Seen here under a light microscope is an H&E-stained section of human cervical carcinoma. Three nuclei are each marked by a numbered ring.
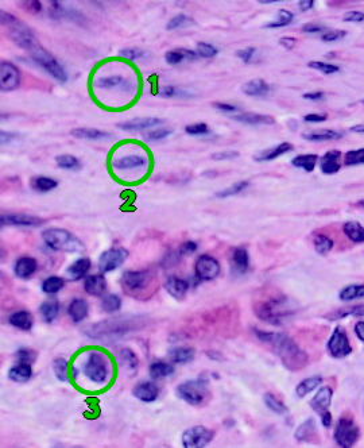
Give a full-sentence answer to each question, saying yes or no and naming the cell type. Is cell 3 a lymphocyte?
Yes, the cell shown as number 3 is a lymphocyte.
